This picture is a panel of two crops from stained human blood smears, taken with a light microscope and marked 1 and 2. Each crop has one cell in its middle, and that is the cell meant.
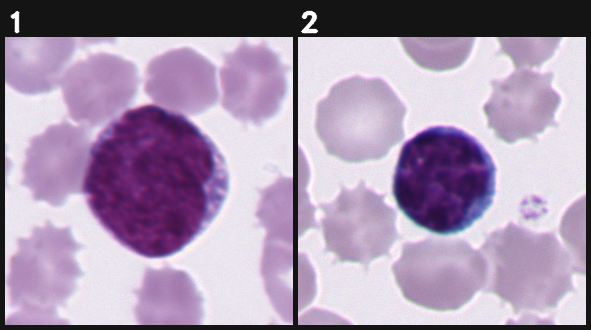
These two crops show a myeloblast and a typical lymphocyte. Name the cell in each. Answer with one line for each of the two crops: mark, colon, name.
1: myeloblast
2: typical lymphocyte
